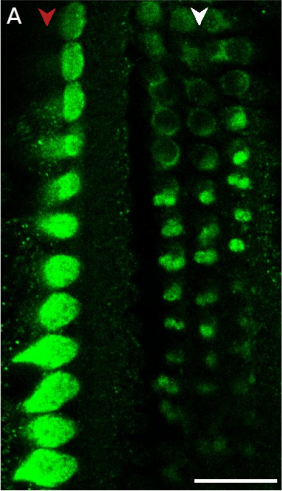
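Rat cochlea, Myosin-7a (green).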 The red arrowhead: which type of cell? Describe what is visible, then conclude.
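A single row of large, brightly green, pear-shaped cells runs along the left edge. These cells stand apart from the three rows of smaller cells to the right. So: inner hair cells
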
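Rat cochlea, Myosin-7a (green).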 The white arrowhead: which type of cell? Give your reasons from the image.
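Three parallel rows of small rounded cells lie to the right of a dark gap. The cells are evenly spaced and smaller than those of the left row. That points to this answer: outer hair cells.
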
